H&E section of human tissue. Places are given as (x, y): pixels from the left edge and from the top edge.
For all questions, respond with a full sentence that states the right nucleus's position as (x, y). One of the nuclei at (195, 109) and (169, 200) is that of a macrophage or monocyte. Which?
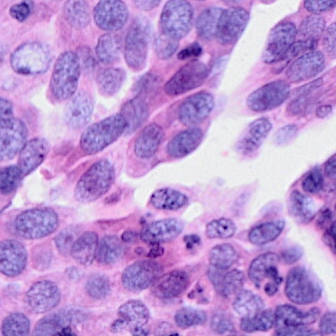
It is the nucleus at (169, 200), not the other one, that belongs to a macrophage or monocyte.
